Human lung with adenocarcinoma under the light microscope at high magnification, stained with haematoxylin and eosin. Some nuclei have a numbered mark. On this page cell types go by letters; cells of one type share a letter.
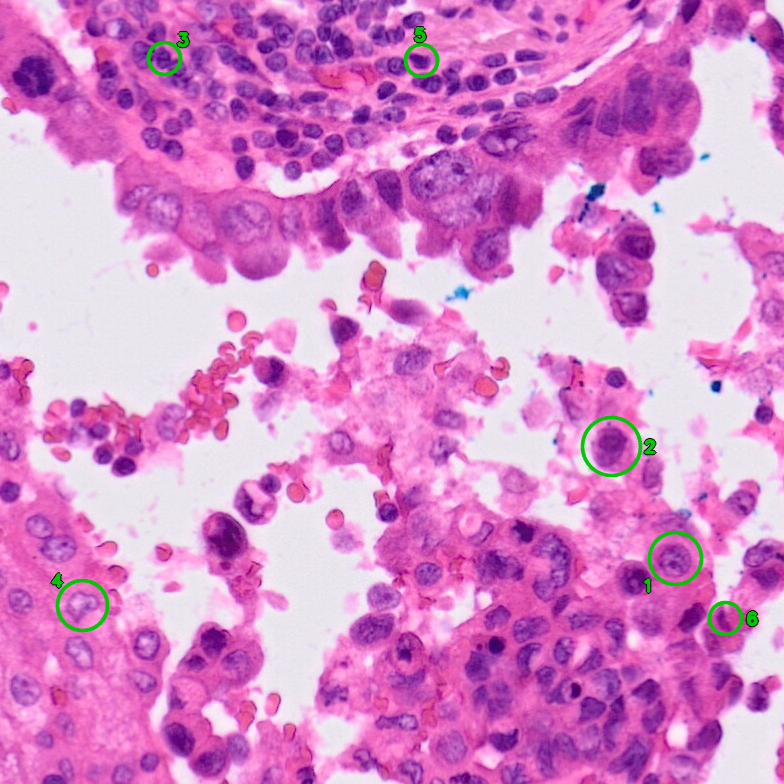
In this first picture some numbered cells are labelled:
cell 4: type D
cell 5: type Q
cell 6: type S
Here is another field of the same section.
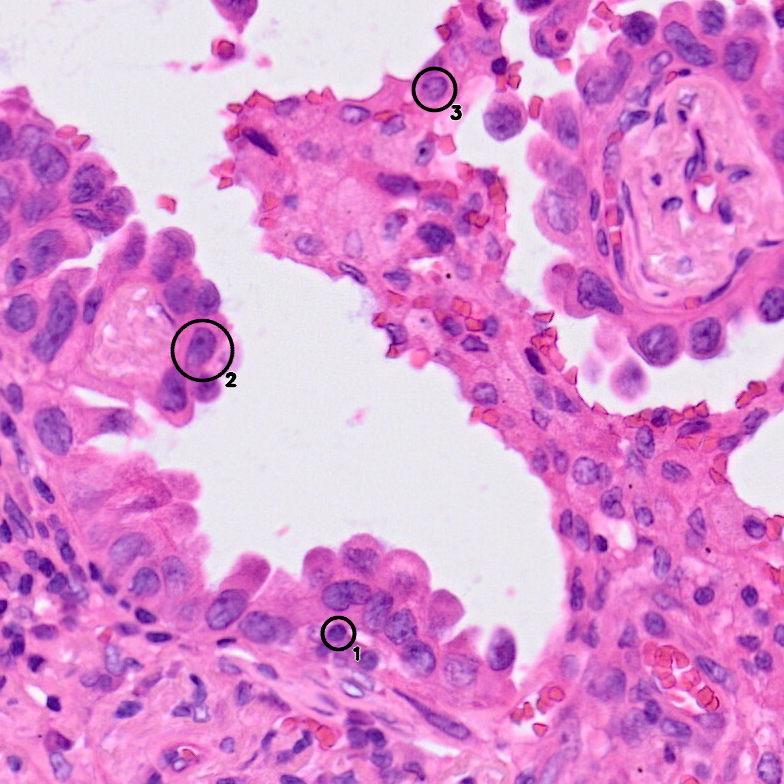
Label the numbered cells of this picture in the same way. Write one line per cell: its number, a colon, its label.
1: type Q
2: type S
3: type D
